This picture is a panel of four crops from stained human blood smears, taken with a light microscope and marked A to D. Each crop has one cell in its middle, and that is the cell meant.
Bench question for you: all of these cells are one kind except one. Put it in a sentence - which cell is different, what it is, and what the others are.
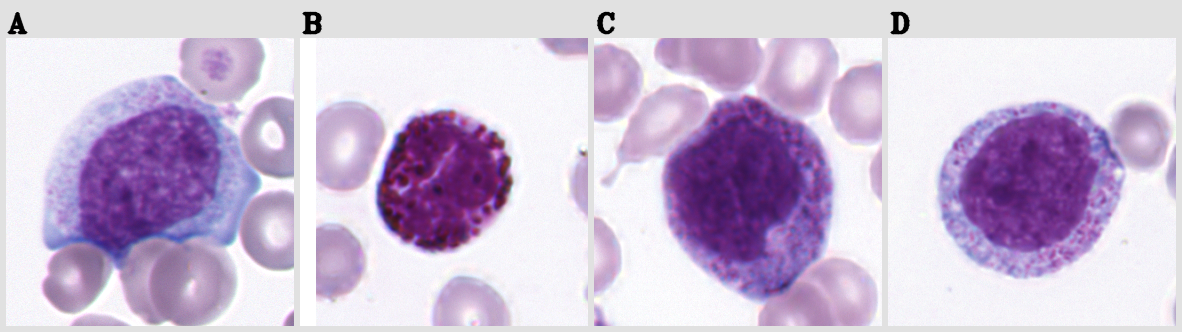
Only one crop differs, namely crop B, which is a basophil; the others show promyelocytes.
